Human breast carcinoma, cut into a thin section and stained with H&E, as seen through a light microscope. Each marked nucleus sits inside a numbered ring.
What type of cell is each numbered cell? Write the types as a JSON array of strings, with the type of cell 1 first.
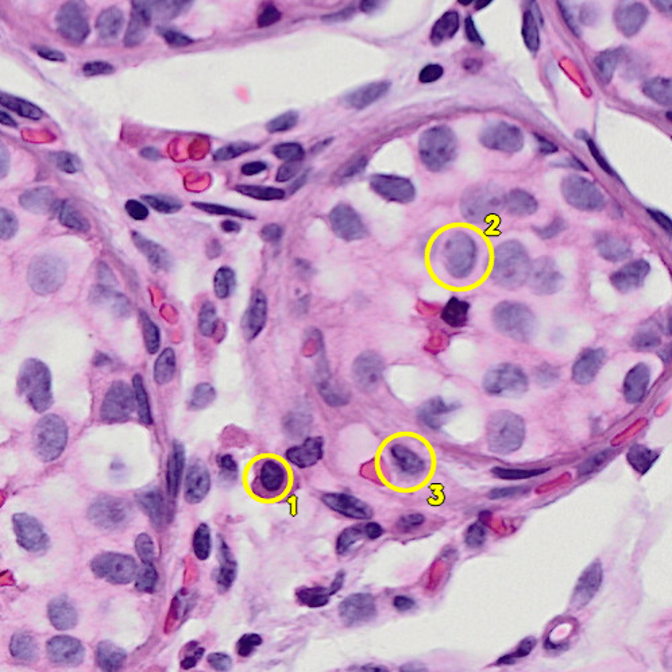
["mast cell", "carcinoma cell", "endothelial cell"]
